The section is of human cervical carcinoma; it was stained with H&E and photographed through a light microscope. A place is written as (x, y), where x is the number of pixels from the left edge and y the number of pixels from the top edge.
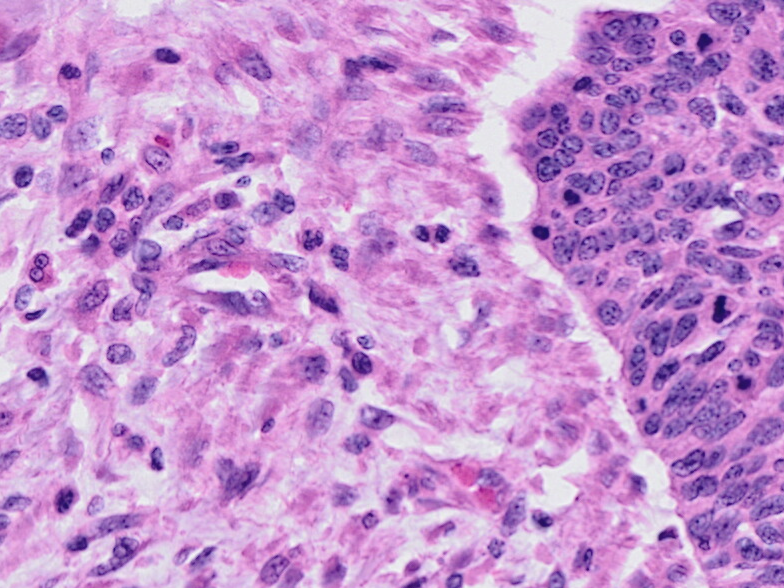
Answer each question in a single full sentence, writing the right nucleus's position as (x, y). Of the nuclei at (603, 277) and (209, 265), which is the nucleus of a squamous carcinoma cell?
Out of the two, it is the nucleus at (603, 277) that belongs to a squamous carcinoma cell.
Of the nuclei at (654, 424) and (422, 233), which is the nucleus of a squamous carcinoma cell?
The nucleus that belongs to a squamous carcinoma cell sits at (654, 424).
